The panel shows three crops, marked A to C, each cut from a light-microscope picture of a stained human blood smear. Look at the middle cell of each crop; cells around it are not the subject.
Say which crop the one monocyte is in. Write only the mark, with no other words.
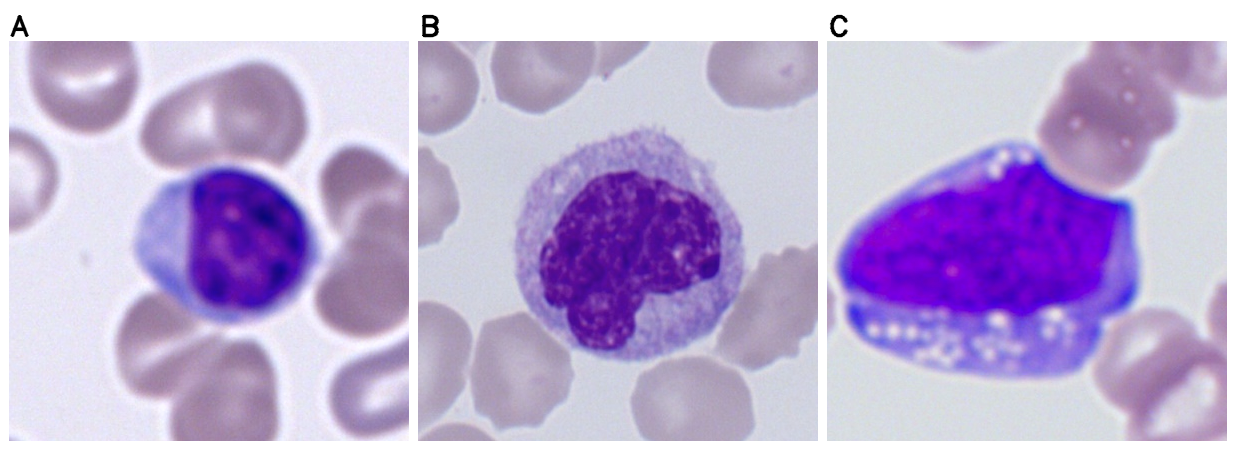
B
